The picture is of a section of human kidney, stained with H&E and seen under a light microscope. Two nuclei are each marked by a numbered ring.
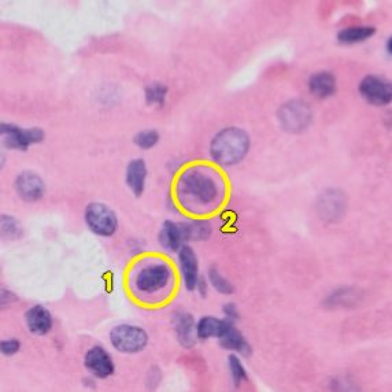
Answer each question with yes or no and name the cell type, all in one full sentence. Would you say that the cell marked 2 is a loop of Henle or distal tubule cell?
No, the cell bearing the number 2 is a proximal tubule cell, not a loop of Henle or distal tubule cell.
